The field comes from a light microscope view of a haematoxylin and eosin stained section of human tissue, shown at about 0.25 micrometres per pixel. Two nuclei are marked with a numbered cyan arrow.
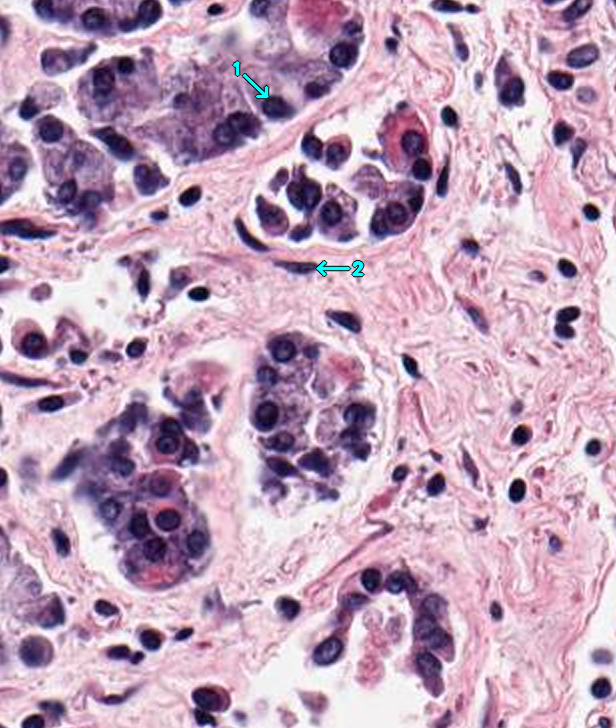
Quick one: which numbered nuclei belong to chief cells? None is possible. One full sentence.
Belonging to a chief cell is true of nucleus 1 only.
